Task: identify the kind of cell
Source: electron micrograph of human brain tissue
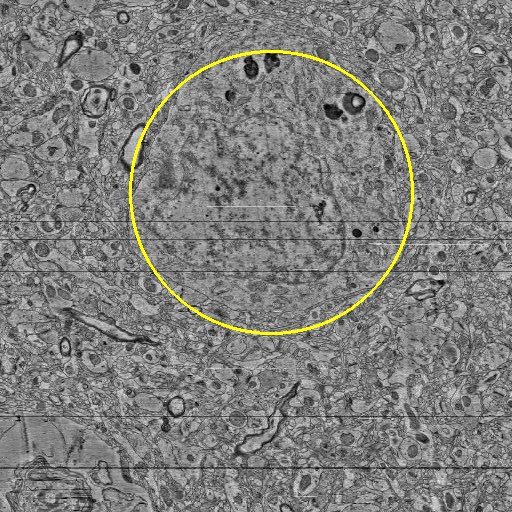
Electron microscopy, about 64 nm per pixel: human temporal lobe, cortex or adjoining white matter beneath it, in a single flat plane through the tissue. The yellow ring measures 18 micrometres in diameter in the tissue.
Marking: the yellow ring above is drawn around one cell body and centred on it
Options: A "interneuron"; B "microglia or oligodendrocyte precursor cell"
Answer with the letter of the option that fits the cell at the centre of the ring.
A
